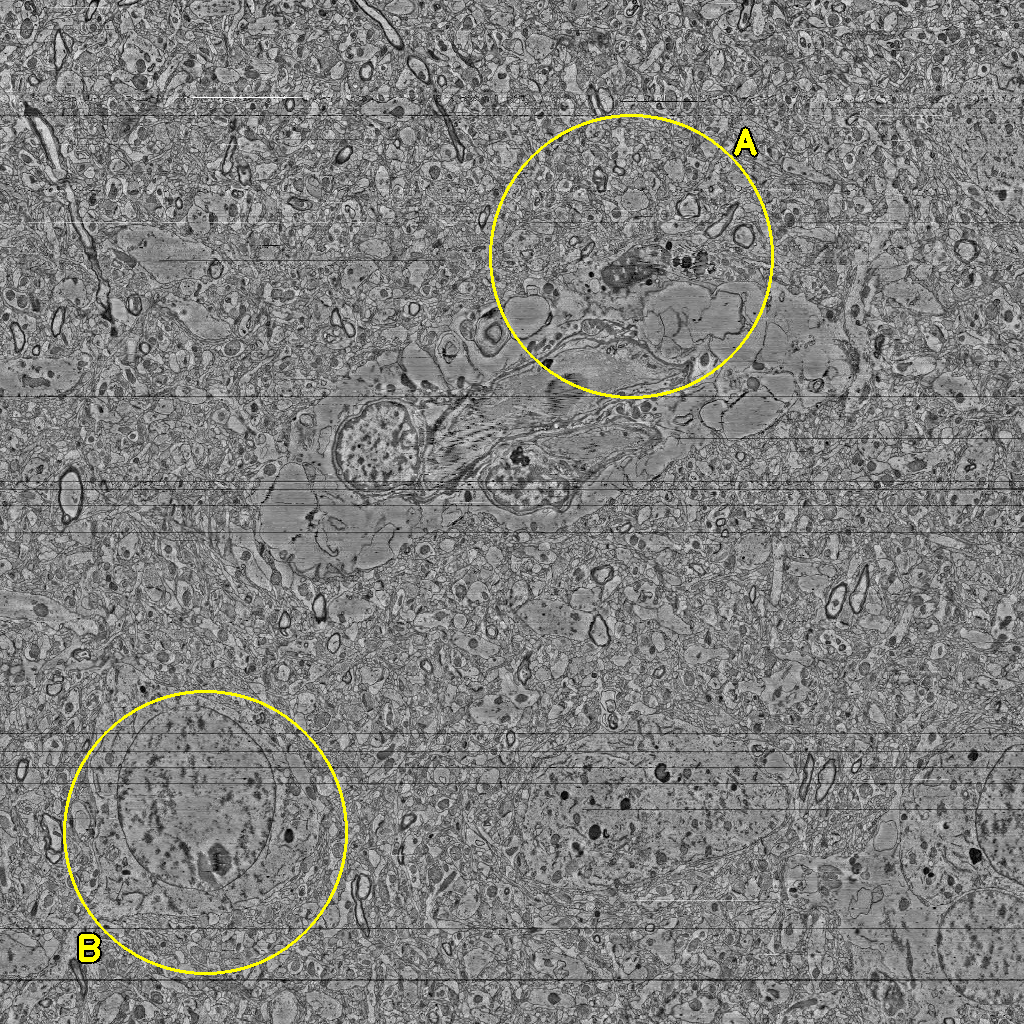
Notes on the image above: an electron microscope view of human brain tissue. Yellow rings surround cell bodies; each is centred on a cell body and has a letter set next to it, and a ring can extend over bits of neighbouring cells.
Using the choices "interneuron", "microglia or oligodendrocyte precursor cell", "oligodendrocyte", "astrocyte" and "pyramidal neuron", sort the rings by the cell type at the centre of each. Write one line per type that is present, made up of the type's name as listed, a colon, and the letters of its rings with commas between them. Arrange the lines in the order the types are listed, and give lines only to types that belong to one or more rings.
microglia or oligodendrocyte precursor cell: A
pyramidal neuron: B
